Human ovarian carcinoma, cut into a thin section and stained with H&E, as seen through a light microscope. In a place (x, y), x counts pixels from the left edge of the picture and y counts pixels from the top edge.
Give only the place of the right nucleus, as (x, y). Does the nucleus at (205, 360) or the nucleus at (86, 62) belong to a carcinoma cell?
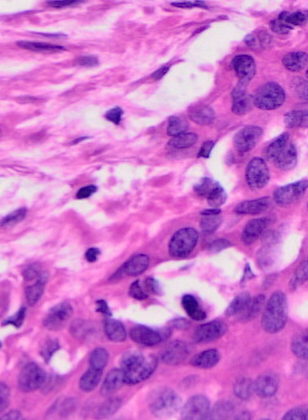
(205, 360)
